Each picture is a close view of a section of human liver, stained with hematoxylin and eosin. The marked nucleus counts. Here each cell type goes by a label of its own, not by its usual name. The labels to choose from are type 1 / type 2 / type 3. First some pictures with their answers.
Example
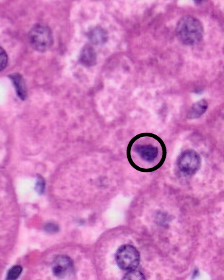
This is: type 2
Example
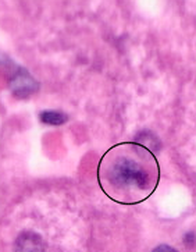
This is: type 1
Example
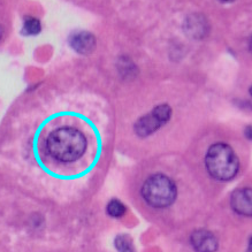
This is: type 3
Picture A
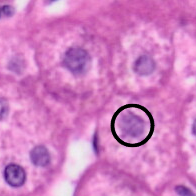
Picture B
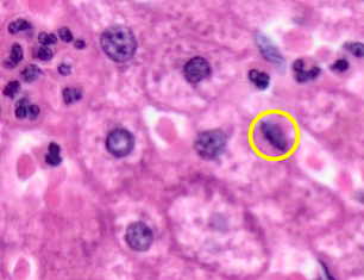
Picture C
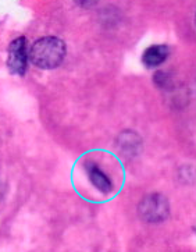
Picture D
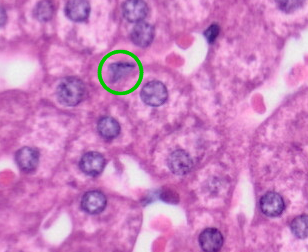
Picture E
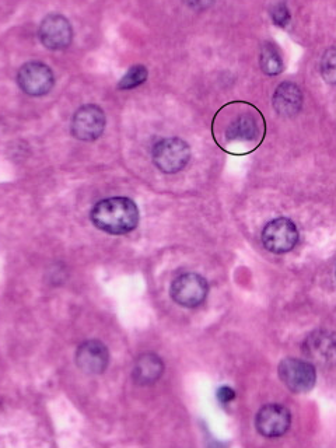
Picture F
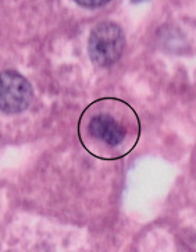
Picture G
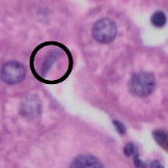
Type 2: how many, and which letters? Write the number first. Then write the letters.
3: B, C, F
